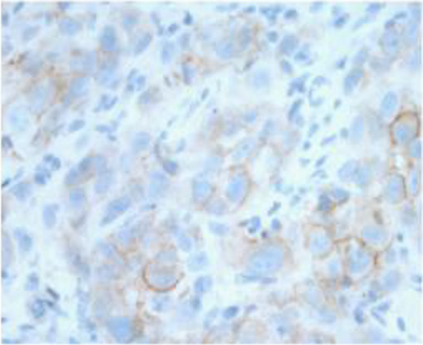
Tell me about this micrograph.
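This is tumor tissue with sheets of tumor cells whose nuclei are stained blue, lying loosely among paler stroma. Only a few cells show a thin, faint and interrupted brown line along their membranes, and most of the field has little brown at all. The nuclei are oval to elongated, and the cell borders are much harder to make out than in strongly outlined tissue.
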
